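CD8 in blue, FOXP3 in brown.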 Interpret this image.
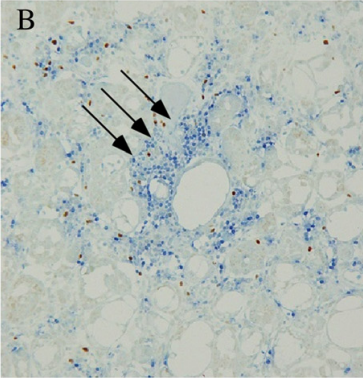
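Numerous small blue-stained lymphocytes are scattered widely and gather in a dense cluster around a large round empty space in the centre. Small dark brown nuclei of other lymphocytes are interspersed, fewer than the blue cells.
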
